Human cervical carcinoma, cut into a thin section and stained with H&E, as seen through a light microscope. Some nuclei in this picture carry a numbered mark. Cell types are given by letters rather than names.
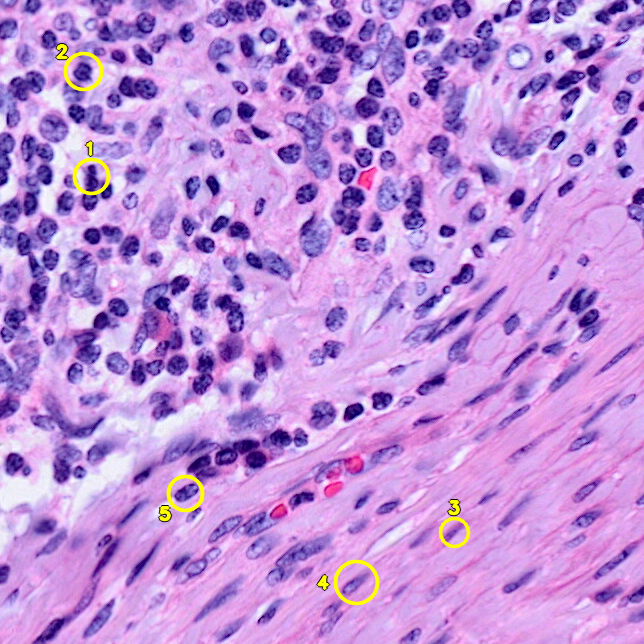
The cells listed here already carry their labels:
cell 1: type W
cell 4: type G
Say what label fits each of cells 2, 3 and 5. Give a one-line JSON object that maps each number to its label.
{"2": "type W", "3": "type G", "5": "type W"}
